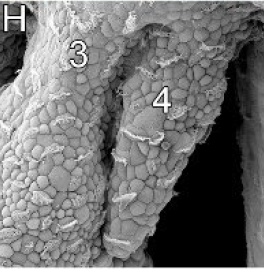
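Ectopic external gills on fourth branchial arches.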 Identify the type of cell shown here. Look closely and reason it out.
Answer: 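The surface is paved with flat polygonal cells with clear borders. Scattered cells carry tufts of fine hair-like projections. That points to this answer: multi-ciliated cells.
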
